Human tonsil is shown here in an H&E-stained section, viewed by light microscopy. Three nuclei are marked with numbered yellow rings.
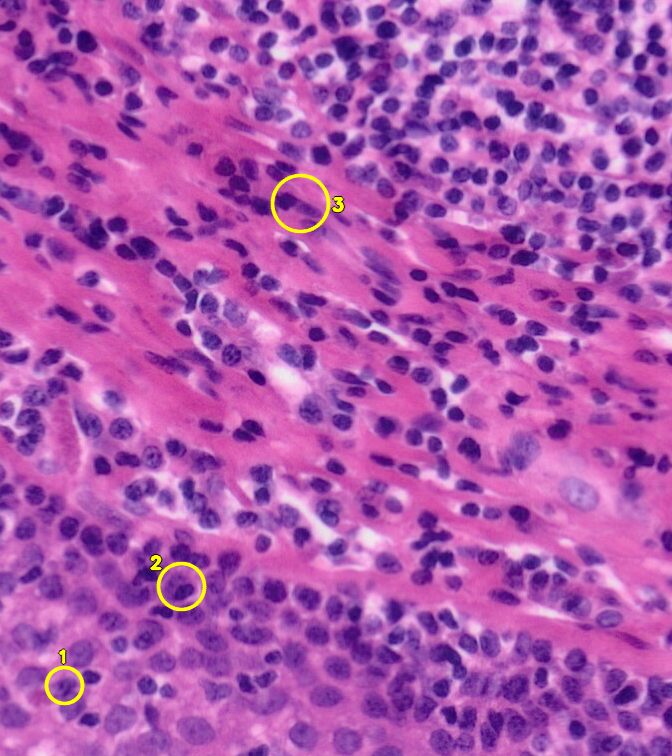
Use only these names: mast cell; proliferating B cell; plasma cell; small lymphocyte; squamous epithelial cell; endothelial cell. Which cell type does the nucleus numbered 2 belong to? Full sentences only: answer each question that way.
The numbered cell 2 in this field is a squamous epithelial cell.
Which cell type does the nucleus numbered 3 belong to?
The cell marked with the number 3 is an endothelial cell.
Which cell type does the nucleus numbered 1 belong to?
The cell indicated with the number 1 is classed as a squamous epithelial cell.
